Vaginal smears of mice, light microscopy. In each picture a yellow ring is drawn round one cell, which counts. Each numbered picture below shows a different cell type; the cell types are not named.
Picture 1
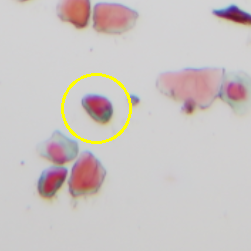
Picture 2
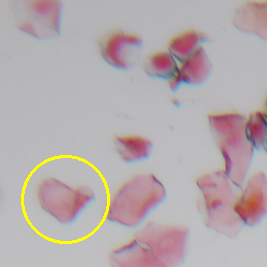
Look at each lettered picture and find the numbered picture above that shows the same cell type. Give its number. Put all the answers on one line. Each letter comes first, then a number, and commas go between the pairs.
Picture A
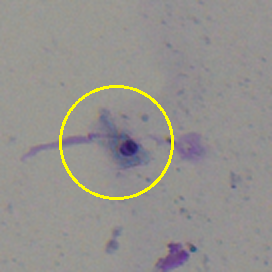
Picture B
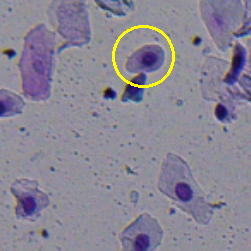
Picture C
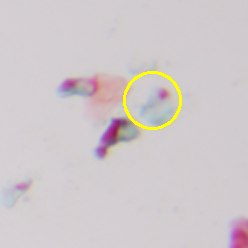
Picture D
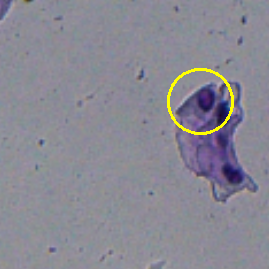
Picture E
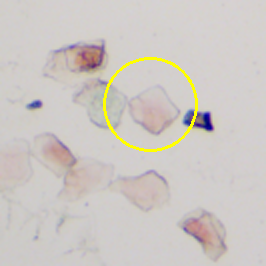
A 1, B 1, C 1, D 1, E 2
